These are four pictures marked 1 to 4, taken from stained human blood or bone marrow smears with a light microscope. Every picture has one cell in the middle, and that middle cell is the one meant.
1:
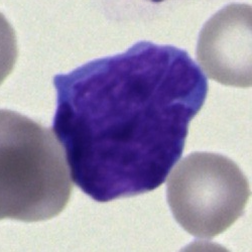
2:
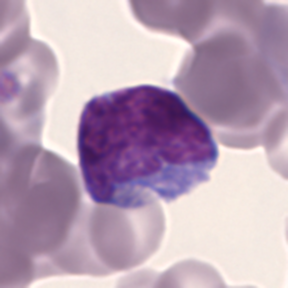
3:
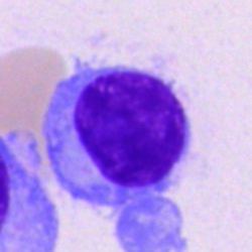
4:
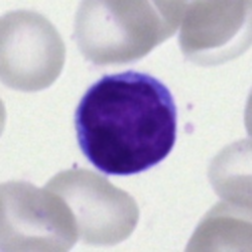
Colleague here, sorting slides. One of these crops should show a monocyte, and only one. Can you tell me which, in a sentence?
Crop 2 is where a monocyte is shown.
